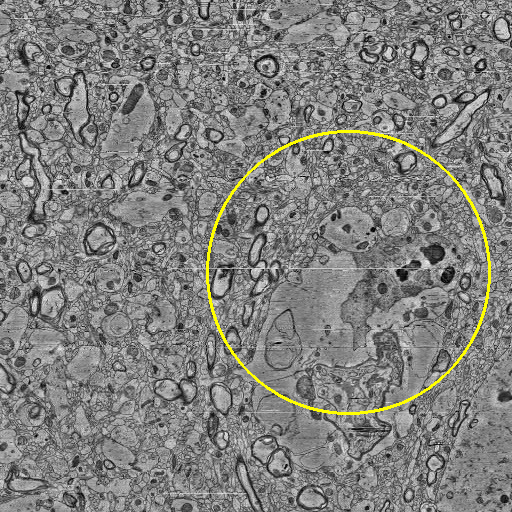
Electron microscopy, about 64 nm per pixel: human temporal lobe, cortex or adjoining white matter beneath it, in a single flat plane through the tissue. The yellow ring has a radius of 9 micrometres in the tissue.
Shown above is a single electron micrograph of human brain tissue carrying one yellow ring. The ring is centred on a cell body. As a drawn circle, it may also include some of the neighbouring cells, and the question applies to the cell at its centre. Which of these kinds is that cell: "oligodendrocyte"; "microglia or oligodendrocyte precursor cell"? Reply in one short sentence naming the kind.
The cell marked by the ring is an oligodendrocyte.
